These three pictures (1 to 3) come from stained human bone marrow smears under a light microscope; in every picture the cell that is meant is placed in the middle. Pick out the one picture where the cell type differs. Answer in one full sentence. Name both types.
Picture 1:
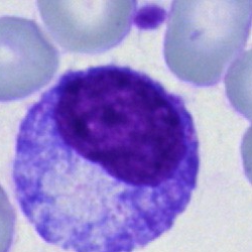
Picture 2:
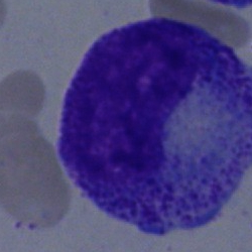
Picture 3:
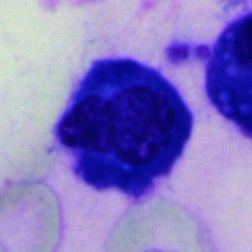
Picture 3 is the odd one out: it shows a plasma cell, while the others show promyelocytes.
